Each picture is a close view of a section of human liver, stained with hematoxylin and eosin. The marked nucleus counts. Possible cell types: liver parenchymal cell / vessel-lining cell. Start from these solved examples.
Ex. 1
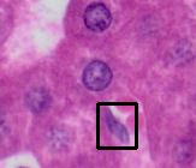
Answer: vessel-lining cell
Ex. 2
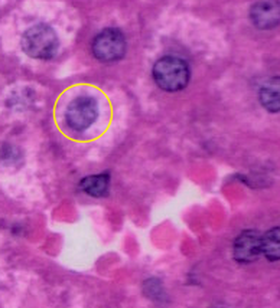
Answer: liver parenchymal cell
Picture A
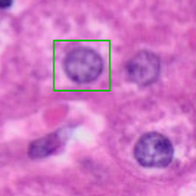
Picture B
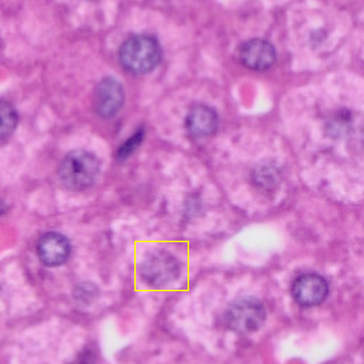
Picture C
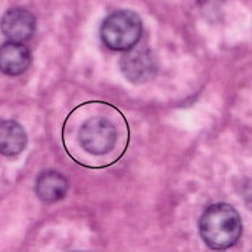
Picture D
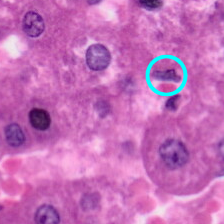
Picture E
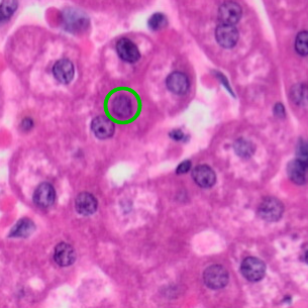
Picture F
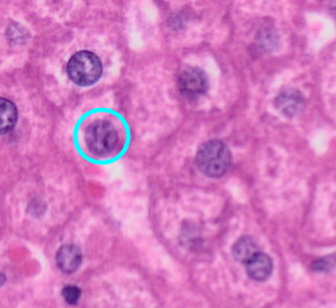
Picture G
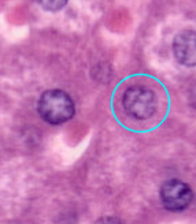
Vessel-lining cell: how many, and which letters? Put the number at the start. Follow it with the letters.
1: D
